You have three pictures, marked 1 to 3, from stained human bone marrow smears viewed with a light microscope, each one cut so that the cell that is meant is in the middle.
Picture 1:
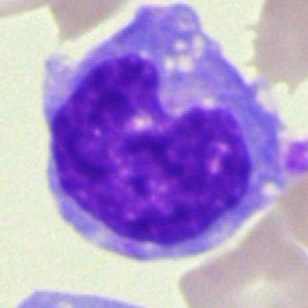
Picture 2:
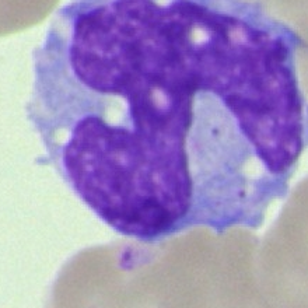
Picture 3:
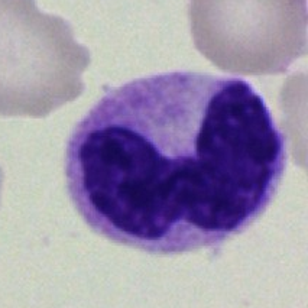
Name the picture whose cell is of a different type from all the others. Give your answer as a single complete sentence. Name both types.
Picture 3 differs, because its cell is a band neutrophil and the rest are monocytes.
